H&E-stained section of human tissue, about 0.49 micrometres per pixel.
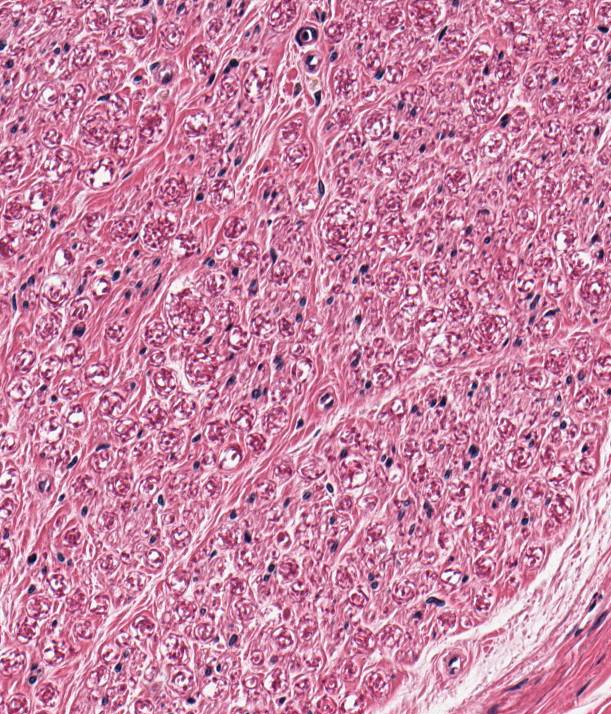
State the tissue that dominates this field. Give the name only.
nerve fascicle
